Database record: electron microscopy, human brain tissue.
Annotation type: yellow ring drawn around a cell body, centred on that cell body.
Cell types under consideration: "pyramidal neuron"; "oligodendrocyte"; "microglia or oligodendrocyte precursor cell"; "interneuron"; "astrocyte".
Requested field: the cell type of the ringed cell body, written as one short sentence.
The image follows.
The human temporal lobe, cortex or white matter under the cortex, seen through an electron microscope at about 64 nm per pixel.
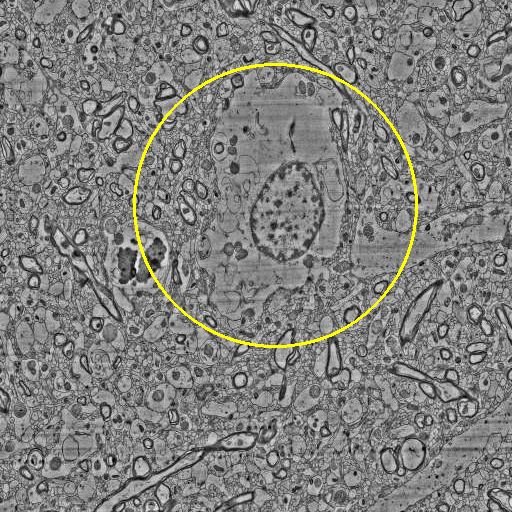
The ringed cell body represents an astrocyte.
